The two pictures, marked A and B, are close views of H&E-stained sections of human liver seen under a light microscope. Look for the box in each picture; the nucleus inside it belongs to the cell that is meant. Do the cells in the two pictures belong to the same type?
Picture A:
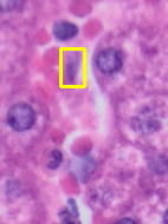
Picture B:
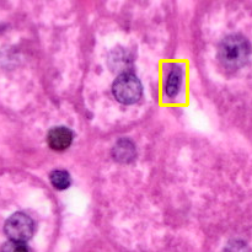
yes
